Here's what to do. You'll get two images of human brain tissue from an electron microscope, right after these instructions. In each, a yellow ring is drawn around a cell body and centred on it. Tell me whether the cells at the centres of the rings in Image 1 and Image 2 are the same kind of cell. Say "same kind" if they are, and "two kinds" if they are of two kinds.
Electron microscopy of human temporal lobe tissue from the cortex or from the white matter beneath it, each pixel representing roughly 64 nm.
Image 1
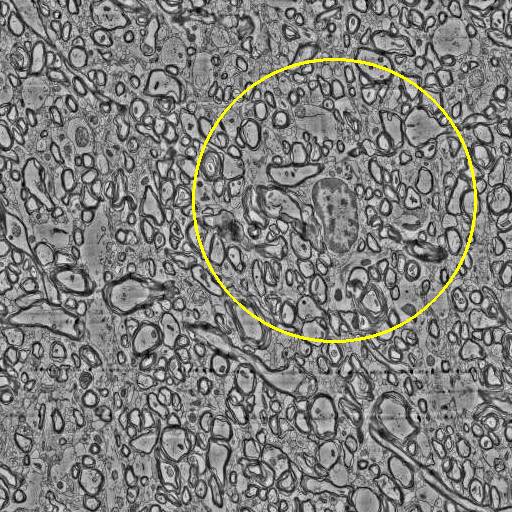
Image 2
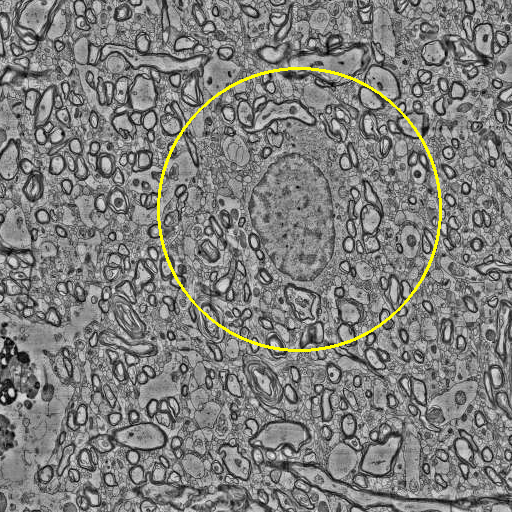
two kinds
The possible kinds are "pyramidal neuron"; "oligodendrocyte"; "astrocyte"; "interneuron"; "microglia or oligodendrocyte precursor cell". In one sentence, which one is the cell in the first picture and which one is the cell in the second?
The cell ringed in the second picture is an oligodendrocyte, whereas the one ringed in the first is a microglial cell or oligodendrocyte precursor cell.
